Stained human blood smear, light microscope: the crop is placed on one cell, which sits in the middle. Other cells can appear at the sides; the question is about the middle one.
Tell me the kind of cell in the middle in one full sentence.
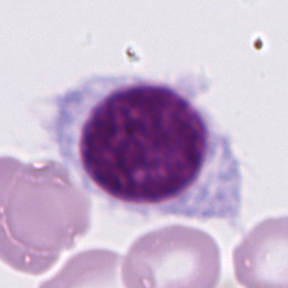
As for the central cell, it is a hairy cell.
